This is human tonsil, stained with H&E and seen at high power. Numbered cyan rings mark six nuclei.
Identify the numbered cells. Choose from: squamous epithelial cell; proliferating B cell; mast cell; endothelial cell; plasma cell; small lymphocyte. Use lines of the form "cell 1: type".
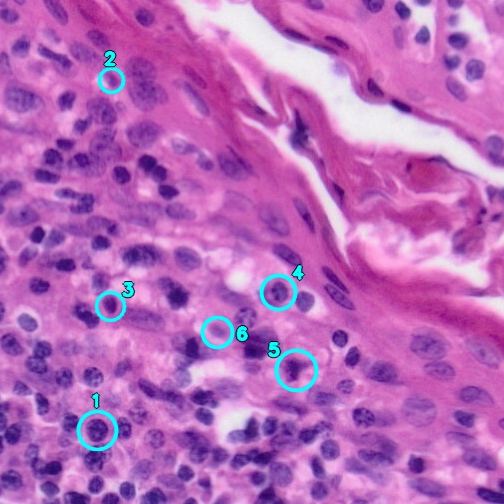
cell 1: plasma cell
cell 2: squamous epithelial cell
cell 3: squamous epithelial cell
cell 4: plasma cell
cell 5: squamous epithelial cell
cell 6: squamous epithelial cell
